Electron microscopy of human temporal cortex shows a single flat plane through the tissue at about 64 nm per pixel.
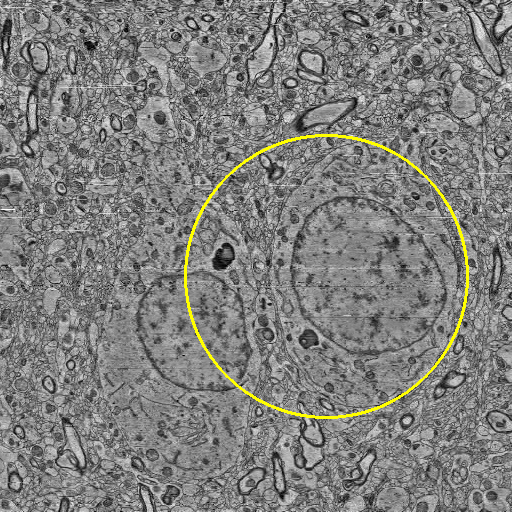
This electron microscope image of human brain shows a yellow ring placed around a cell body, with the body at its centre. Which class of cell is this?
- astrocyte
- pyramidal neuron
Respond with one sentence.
The cell body at the ring's centre is a pyramidal neuron.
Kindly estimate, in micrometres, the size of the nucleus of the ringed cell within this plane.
In this plane the nucleus measures roughly 11 by 9 micrometres.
